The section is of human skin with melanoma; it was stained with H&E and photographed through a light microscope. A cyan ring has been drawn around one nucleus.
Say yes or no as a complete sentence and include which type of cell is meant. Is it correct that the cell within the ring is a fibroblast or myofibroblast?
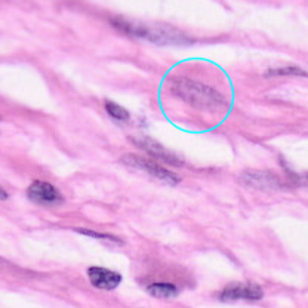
Yes, the naming of the cell within the ring as a fibroblast or myofibroblast is correct.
